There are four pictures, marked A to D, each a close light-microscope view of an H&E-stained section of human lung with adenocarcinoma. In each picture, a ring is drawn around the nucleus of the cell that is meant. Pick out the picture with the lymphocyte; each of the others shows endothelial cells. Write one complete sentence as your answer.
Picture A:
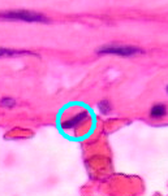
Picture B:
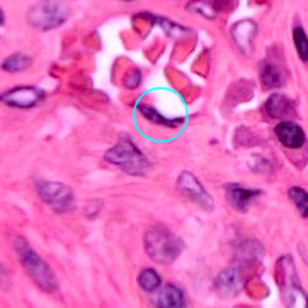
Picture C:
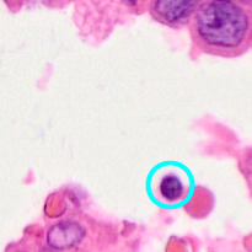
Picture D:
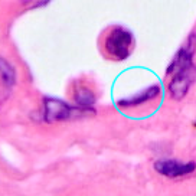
The lymphocyte is the one in picture C.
